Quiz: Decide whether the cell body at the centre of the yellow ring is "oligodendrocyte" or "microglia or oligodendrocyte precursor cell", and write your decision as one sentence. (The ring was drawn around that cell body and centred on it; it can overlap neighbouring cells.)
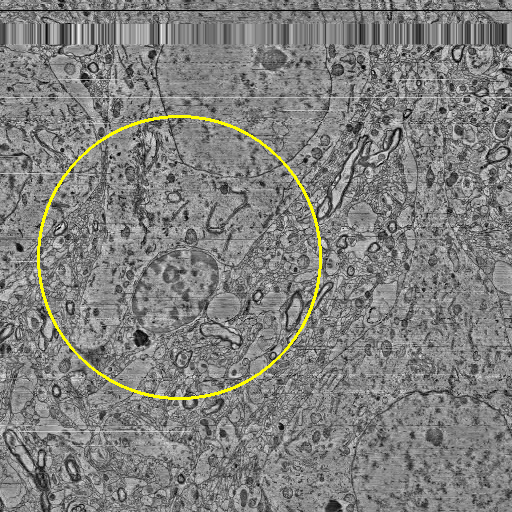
The cell the ring is centred on is a microglial cell or oligodendrocyte precursor cell.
